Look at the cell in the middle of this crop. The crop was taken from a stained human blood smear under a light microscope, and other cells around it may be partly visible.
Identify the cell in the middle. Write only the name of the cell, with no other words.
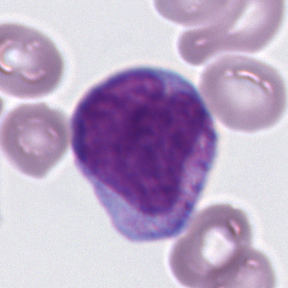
atypical promyelocyte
